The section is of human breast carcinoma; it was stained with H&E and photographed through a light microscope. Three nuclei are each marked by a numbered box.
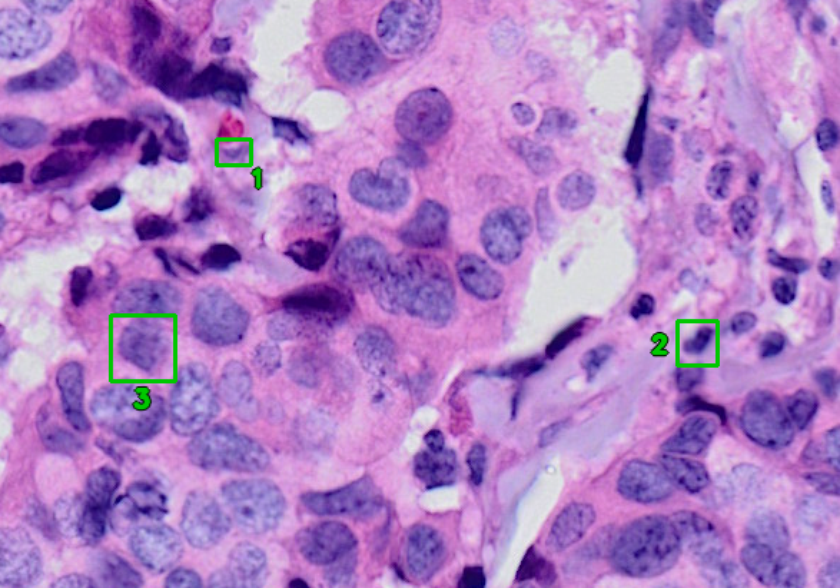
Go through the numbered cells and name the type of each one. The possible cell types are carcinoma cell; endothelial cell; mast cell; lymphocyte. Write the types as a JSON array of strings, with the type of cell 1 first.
["endothelial cell", "lymphocyte", "carcinoma cell"]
